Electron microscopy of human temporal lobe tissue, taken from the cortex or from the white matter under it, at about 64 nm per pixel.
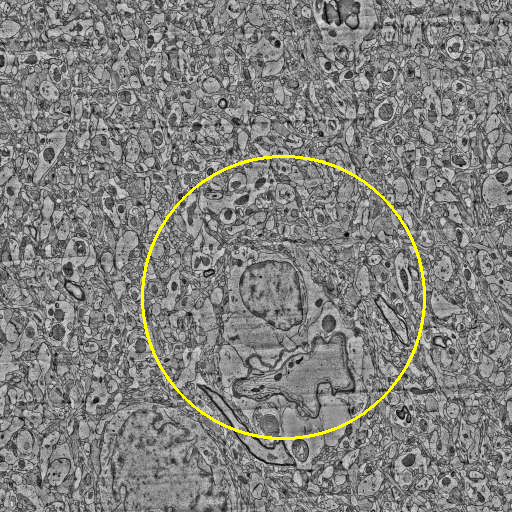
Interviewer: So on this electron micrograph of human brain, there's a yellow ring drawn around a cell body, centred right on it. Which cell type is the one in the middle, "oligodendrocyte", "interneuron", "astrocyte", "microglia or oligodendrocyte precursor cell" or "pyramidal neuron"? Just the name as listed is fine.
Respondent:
microglia or oligodendrocyte precursor cell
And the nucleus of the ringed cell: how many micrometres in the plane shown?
In this plane, the nucleus of the cell at the centre of the ring measures about 5 by 4 micrometres.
